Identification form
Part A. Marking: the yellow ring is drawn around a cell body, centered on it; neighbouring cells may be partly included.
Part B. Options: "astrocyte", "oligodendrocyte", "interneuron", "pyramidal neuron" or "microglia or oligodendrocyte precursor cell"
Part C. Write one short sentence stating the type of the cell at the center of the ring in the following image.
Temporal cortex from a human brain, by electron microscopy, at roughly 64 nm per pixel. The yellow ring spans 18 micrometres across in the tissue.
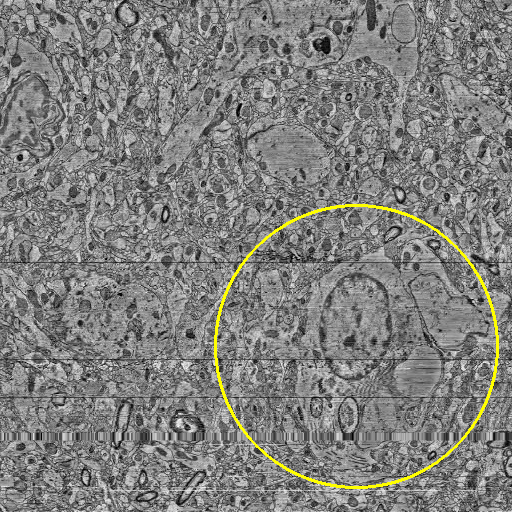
The center of the ring holds an astrocyte.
